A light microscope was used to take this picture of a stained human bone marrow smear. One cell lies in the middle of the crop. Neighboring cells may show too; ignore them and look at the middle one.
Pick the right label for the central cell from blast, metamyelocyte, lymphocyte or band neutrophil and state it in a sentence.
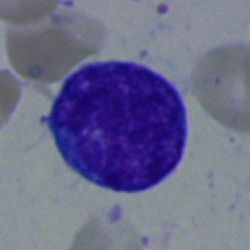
Centrally within this crop lies a blast.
